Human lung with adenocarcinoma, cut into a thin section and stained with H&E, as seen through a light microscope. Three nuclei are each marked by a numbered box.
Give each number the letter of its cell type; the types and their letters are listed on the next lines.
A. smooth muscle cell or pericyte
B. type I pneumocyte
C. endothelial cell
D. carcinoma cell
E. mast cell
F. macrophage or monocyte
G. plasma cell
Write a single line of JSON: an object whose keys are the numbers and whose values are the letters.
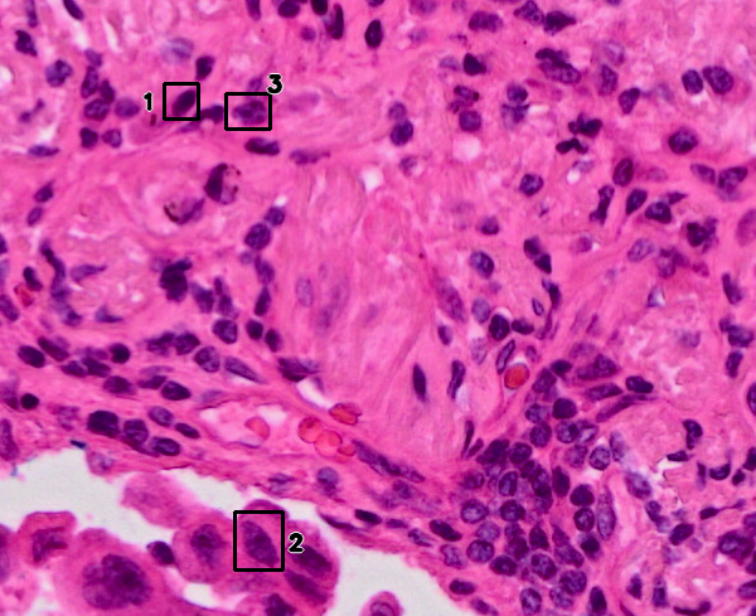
{"1": "G", "2": "D", "3": "G"}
